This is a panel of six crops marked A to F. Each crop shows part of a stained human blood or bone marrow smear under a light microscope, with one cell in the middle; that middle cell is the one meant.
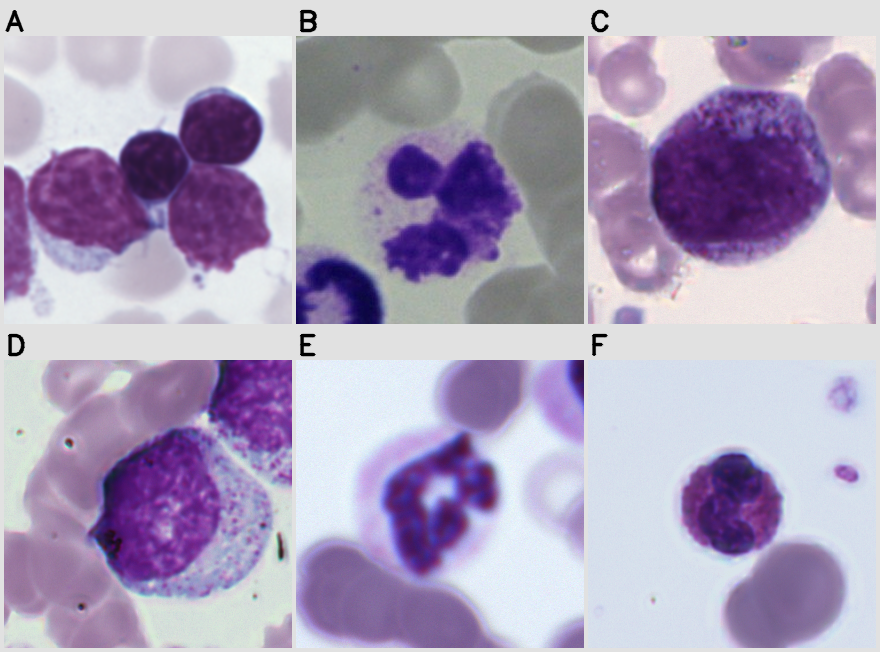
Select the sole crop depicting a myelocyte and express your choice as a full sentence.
It is in crop D, among all the crops, that a myelocyte is present.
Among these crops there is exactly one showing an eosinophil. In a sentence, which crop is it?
Crop F shows an eosinophil, and no other crop does.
